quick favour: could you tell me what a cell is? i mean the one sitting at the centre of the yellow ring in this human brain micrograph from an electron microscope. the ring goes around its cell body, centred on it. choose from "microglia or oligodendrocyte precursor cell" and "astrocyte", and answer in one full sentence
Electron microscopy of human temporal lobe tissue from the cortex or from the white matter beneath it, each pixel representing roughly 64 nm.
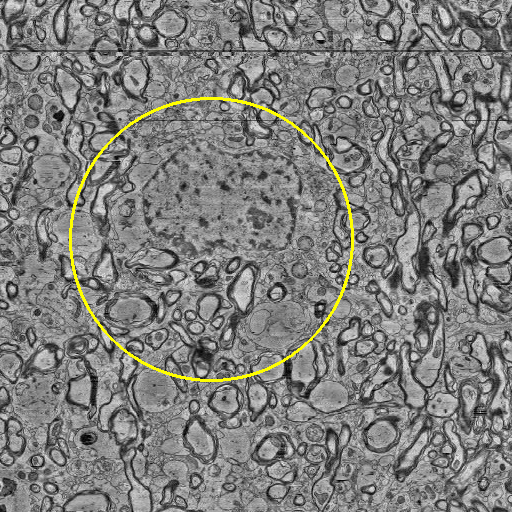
That's an astrocyte, the cell sitting at the centre of the yellow ring.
